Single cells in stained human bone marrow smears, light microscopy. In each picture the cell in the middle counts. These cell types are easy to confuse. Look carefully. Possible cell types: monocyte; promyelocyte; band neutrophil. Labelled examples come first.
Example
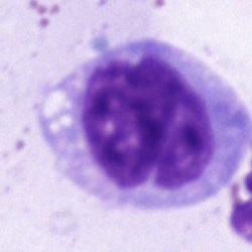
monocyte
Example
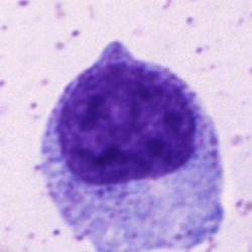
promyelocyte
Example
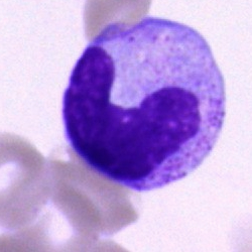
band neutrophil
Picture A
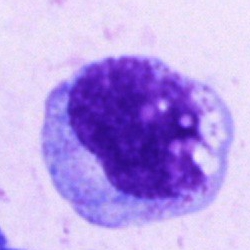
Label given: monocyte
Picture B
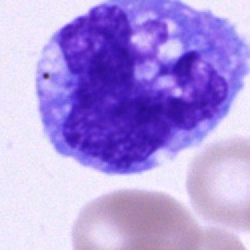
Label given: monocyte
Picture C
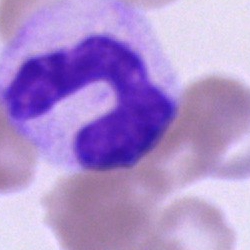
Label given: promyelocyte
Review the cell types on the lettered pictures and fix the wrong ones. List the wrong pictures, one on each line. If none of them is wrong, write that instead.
C is labelled promyelocyte; correct label: band neutrophil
